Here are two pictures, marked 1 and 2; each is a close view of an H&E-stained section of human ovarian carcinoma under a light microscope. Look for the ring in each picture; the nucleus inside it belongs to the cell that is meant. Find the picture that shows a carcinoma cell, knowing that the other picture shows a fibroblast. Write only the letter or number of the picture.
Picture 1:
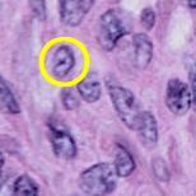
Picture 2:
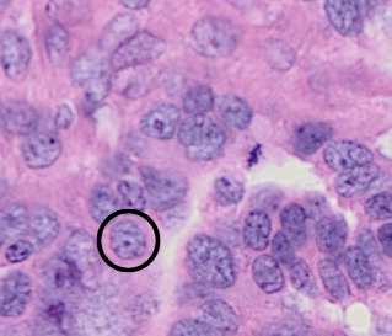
2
